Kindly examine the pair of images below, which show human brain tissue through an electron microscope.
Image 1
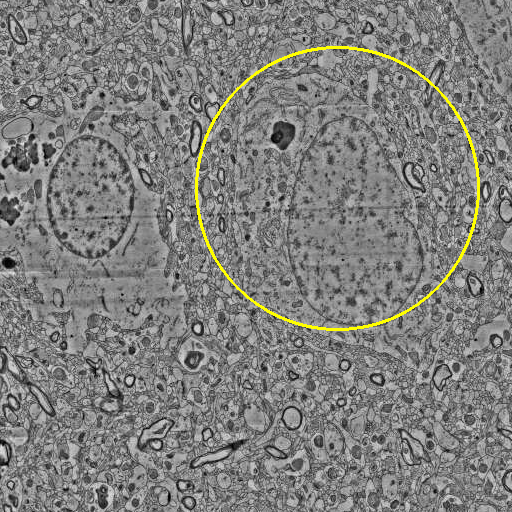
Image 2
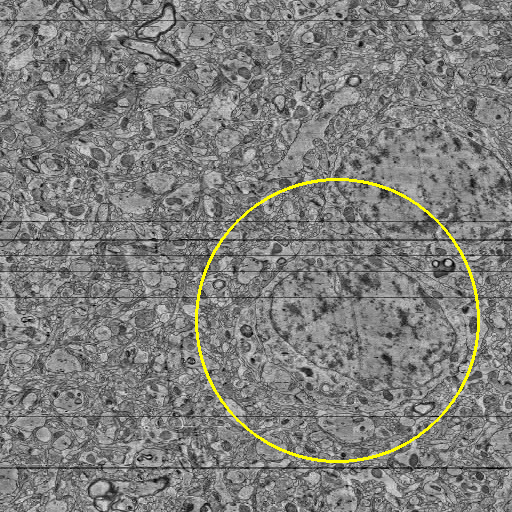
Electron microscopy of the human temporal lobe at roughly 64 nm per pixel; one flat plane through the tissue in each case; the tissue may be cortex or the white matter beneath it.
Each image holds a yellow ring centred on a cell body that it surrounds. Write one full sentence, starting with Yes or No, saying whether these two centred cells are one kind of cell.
Yes, both cells at the centres of the yellow rings belong to one kind of cell.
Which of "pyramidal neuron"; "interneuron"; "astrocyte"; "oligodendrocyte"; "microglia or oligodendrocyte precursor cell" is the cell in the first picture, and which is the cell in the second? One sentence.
In the first picture and in the second, the ring is centred on an interneuron.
